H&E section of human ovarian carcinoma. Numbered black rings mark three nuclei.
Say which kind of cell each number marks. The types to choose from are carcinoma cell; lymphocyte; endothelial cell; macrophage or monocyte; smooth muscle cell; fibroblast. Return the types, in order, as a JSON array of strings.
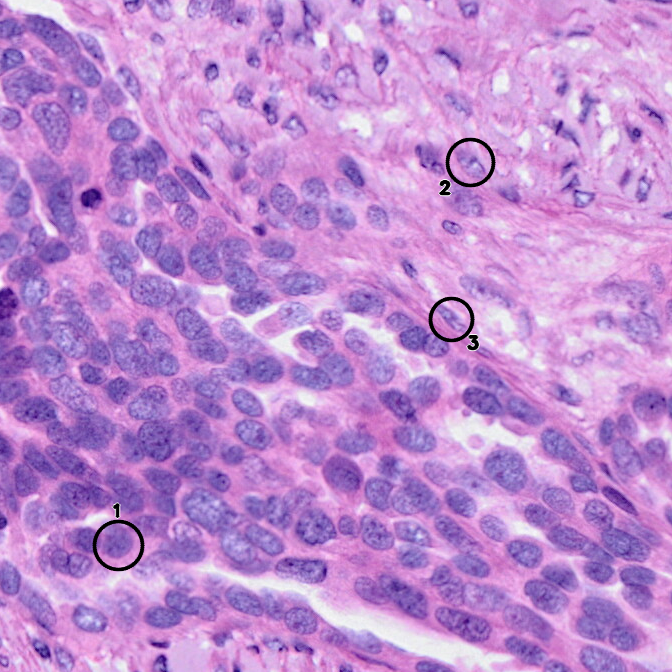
["carcinoma cell", "fibroblast", "fibroblast"]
